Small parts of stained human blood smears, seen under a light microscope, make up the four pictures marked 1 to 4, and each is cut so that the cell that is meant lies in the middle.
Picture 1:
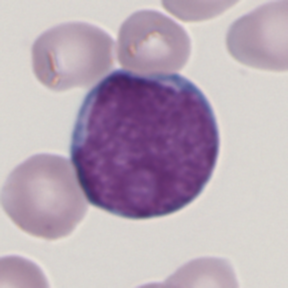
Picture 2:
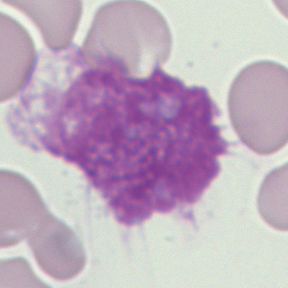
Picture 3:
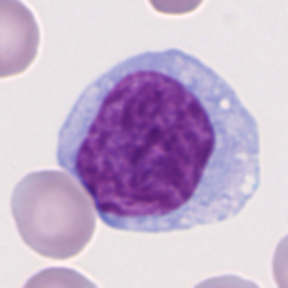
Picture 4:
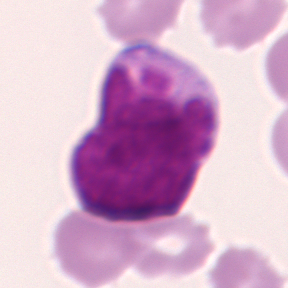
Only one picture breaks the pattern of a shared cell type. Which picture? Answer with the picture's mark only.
2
